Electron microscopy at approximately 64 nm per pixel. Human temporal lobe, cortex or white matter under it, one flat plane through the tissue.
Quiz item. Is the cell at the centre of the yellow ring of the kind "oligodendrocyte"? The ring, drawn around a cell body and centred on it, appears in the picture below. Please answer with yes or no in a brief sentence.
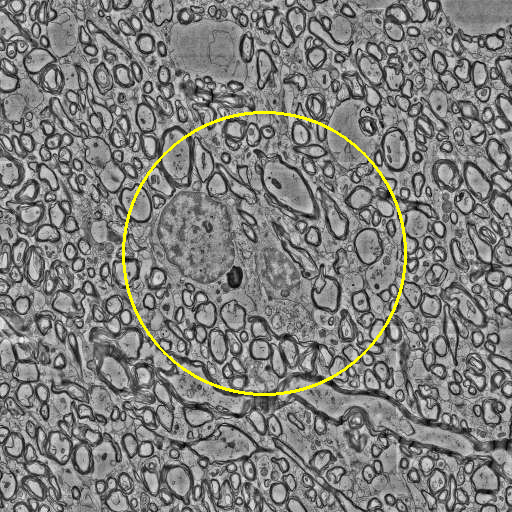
Yes, it is that kind of cell.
